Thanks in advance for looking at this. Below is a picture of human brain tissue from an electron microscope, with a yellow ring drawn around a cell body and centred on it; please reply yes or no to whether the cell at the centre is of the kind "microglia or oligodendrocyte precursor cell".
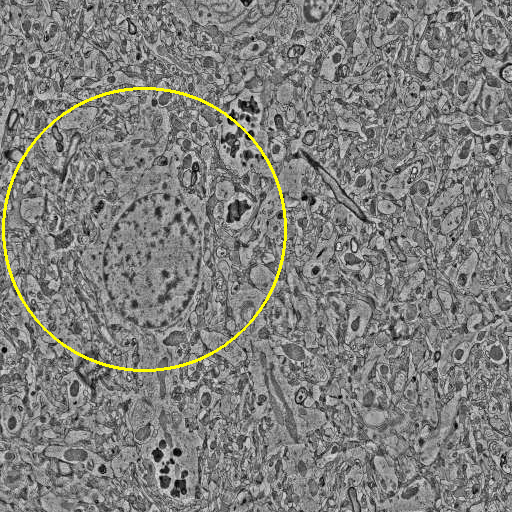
no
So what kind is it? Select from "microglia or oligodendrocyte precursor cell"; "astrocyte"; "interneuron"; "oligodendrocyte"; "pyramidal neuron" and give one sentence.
Instead, the ringed cell here is an astrocyte.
